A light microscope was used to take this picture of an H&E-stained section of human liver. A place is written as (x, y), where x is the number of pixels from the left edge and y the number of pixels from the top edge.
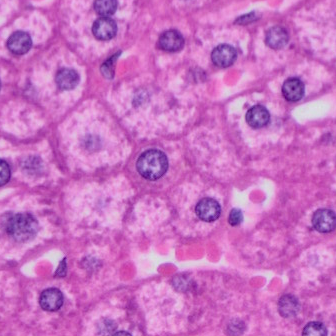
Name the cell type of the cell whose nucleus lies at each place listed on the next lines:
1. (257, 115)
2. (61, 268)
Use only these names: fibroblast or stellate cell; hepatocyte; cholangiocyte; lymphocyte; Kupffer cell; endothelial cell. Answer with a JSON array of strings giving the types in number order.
["hepatocyte", "endothelial cell"]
